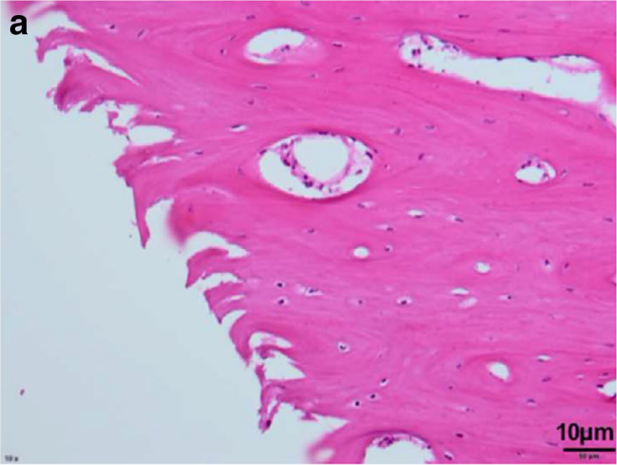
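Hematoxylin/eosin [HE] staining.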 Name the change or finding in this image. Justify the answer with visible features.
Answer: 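The edge of the pink bone matrix is frayed into thin, splinter-like projections. Clefts separate slivers of matrix along the margin. That points to this answer: splicing of the bone matrix.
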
